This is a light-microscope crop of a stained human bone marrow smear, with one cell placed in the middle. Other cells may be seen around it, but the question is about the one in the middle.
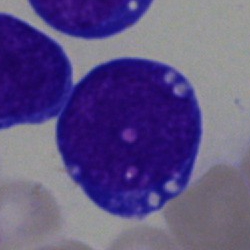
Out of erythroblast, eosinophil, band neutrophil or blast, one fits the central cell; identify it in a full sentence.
The cell that lies at the centre of the crop is a blast.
